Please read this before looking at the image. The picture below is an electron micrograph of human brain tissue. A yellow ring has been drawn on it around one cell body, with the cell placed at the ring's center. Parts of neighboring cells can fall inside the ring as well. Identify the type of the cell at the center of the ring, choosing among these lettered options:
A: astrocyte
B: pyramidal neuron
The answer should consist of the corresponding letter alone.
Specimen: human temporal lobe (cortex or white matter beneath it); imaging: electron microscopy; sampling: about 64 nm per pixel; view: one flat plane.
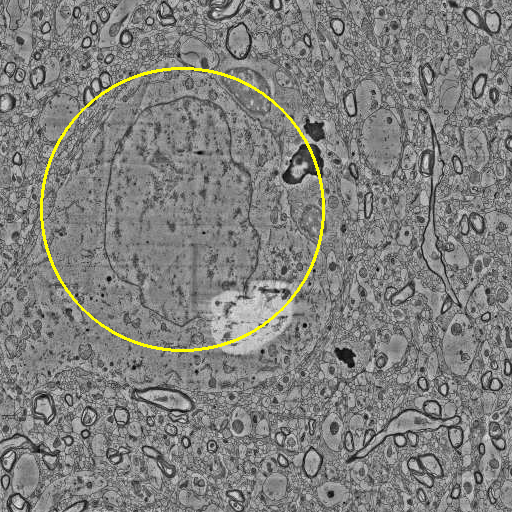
B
